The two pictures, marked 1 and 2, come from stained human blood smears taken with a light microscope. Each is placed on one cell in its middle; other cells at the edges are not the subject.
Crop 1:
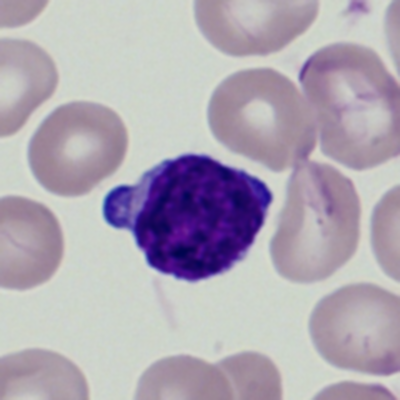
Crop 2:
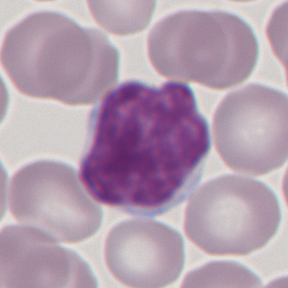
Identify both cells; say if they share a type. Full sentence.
Yes, that holds, both crops show lymphocytes.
